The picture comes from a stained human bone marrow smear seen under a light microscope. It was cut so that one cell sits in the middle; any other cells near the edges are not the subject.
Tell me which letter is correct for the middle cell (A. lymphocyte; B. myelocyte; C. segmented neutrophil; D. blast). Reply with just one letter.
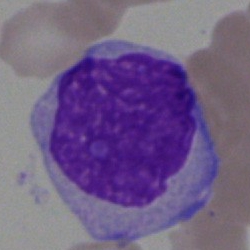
D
